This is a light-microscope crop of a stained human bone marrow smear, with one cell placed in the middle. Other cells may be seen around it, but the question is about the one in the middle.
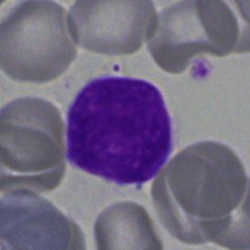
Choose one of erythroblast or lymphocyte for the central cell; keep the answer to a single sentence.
The crop centres on a single cell, and that cell is a lymphocyte.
